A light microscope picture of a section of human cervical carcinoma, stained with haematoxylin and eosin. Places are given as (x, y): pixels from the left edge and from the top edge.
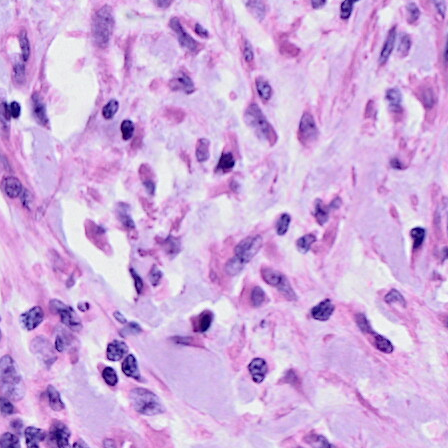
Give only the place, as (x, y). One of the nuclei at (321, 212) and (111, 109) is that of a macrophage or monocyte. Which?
(321, 212)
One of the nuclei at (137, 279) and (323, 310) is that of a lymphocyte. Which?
(323, 310)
